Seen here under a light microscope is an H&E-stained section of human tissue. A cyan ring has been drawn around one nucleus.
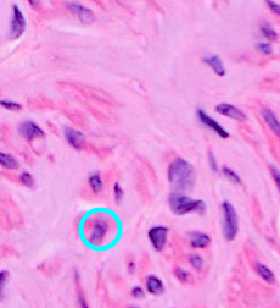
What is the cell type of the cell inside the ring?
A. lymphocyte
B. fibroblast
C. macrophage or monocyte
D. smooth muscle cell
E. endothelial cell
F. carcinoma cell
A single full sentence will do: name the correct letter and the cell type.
The statement that the cell inside the ring is a smooth muscle cell corresponds to option D, the correct one.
